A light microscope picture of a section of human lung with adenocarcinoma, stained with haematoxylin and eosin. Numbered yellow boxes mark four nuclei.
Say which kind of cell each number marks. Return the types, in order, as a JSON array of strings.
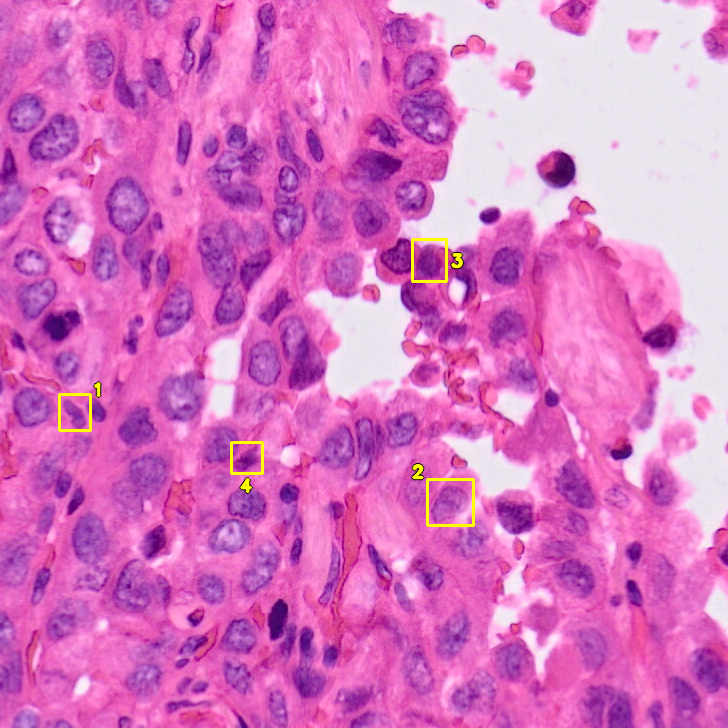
["macrophage or monocyte", "carcinoma cell", "carcinoma cell", "carcinoma cell"]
